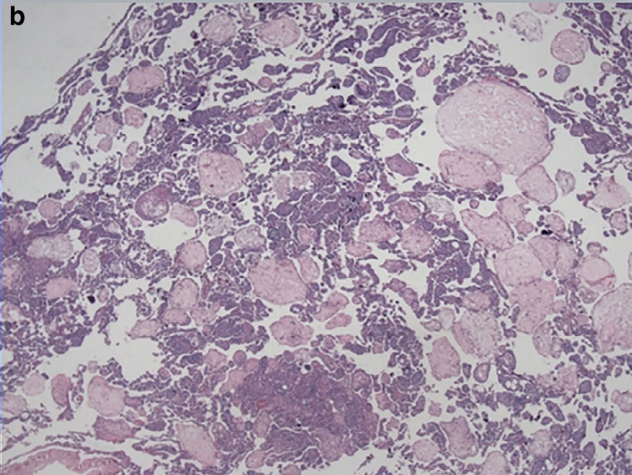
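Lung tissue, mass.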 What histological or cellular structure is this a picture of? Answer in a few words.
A: multiple papillary processes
